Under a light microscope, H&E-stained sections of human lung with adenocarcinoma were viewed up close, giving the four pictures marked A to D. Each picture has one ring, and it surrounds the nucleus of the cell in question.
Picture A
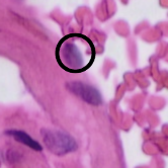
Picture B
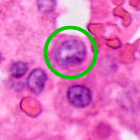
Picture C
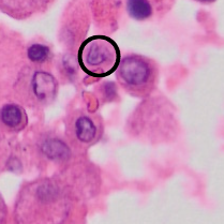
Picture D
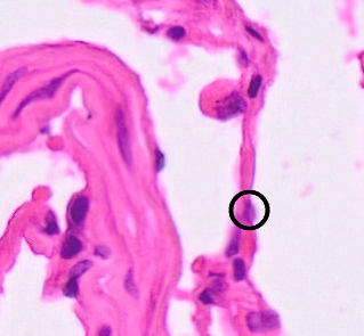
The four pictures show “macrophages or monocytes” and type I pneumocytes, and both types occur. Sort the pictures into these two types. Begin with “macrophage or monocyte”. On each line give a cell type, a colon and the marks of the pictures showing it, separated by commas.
macrophage or monocyte: B, C
type I pneumocyte: A, D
